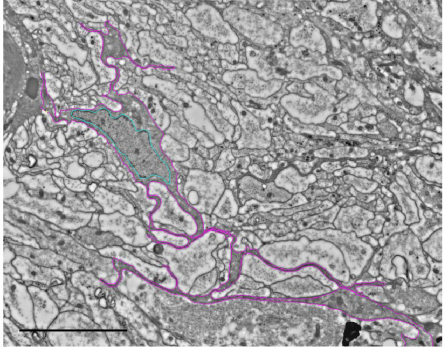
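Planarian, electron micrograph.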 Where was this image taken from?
neuropil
